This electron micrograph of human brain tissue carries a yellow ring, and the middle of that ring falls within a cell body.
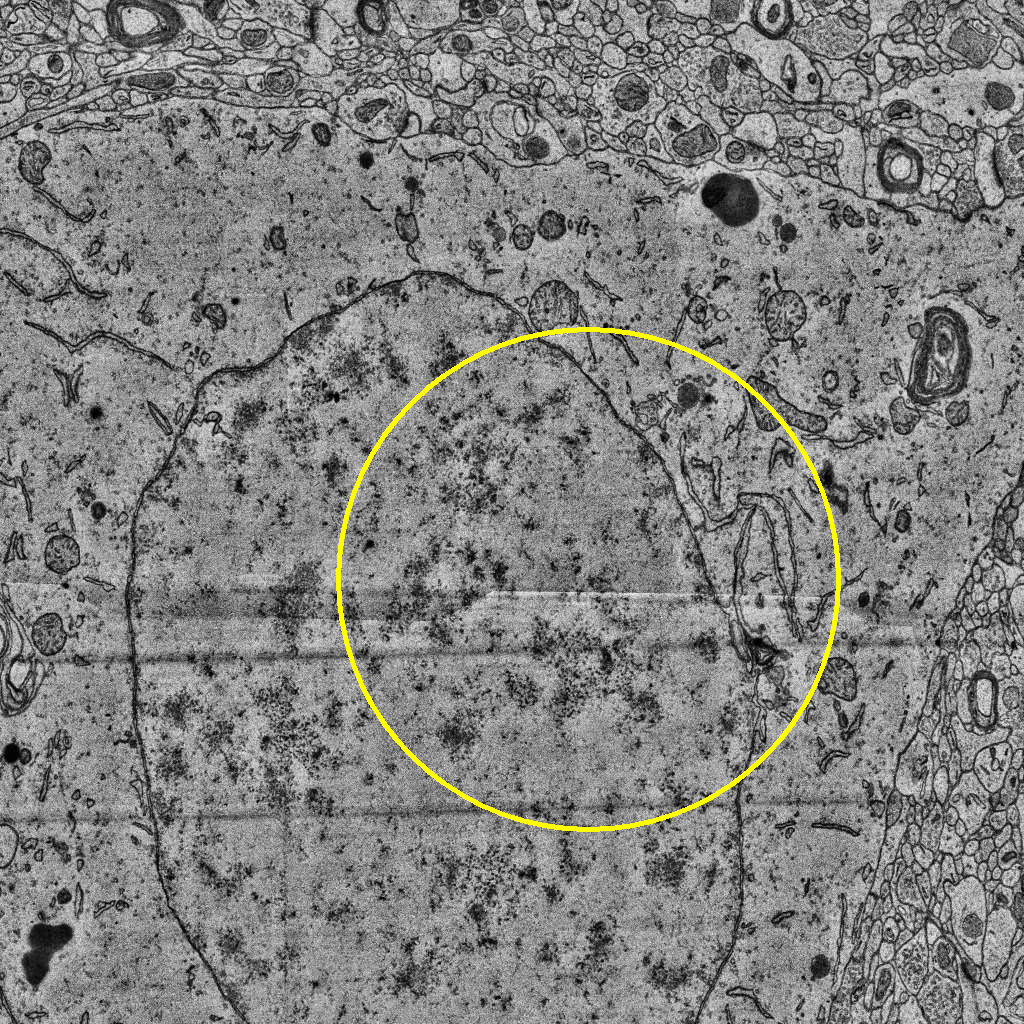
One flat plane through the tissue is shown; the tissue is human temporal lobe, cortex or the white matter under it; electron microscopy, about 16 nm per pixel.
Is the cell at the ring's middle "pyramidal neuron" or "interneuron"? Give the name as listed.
pyramidal neuron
